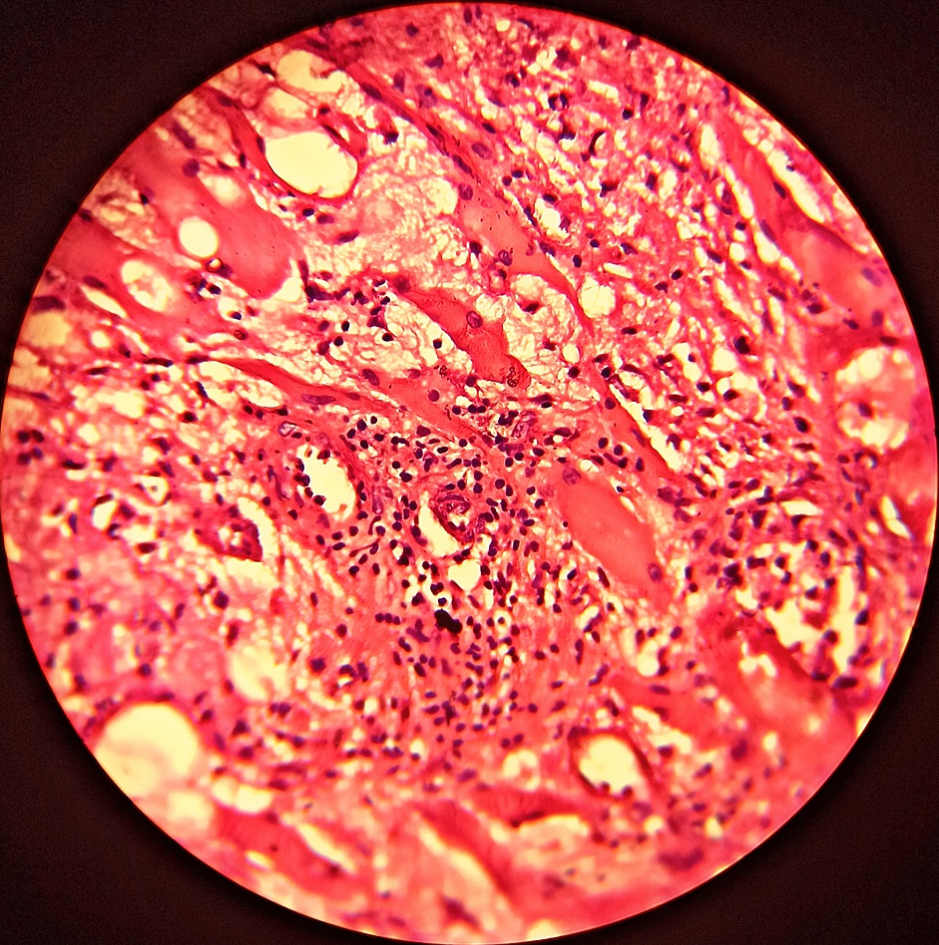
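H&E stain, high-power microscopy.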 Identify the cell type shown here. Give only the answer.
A: lymphocytes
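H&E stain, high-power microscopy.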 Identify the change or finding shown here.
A: chronic inflammatory lesion with fibrosis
